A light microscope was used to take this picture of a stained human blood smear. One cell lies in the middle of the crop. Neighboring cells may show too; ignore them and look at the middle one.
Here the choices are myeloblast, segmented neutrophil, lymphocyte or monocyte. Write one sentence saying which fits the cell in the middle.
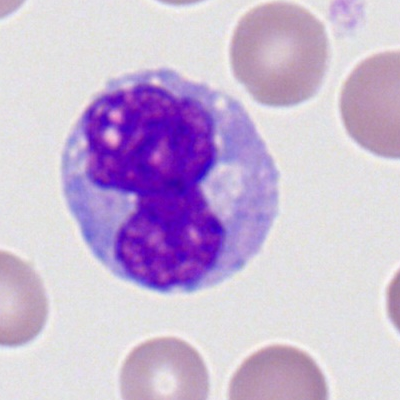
Classification of the middle cell gives a monocyte.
